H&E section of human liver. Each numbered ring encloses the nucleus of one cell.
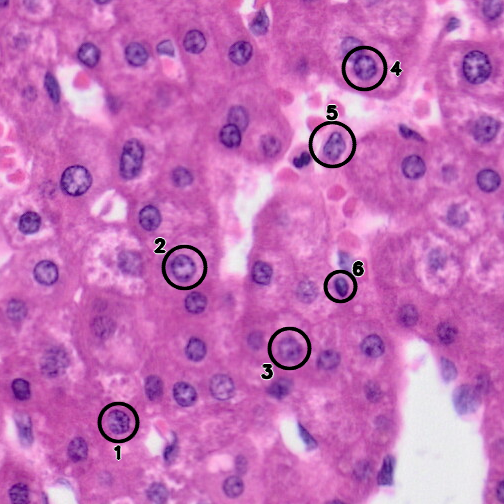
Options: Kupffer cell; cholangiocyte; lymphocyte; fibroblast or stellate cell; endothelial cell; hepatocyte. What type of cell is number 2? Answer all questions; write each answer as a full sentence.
The correct label for cell 2 is a hepatocyte.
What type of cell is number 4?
The cell referred to as 4 is a hepatocyte.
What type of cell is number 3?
The marked cell with the number 3 is recognised as a hepatocyte.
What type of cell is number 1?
What the number 1 marks in this field is a hepatocyte.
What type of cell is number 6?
The cell indicated with the number 6 is classed as a fibroblast or stellate cell.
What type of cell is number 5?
In this section, the cell numbered 5 is a Kupffer cell.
